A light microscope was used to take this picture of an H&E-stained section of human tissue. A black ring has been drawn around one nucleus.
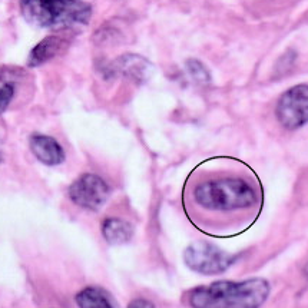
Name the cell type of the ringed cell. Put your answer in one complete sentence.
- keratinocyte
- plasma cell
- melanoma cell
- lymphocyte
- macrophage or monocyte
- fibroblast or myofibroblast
The ringed cell is a melanoma cell.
